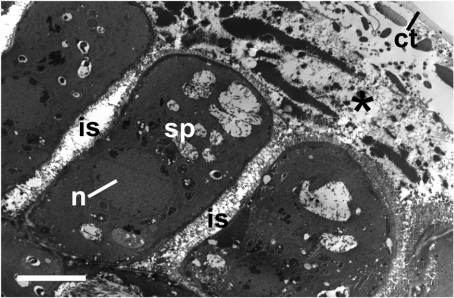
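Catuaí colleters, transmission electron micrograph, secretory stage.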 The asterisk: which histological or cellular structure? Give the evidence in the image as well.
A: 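Subcuticular space with exudate. The asterisk lies in a pale zone between the outer cuticle layer and the dark epidermal cells. The zone holds scattered dark elongated and granular material.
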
